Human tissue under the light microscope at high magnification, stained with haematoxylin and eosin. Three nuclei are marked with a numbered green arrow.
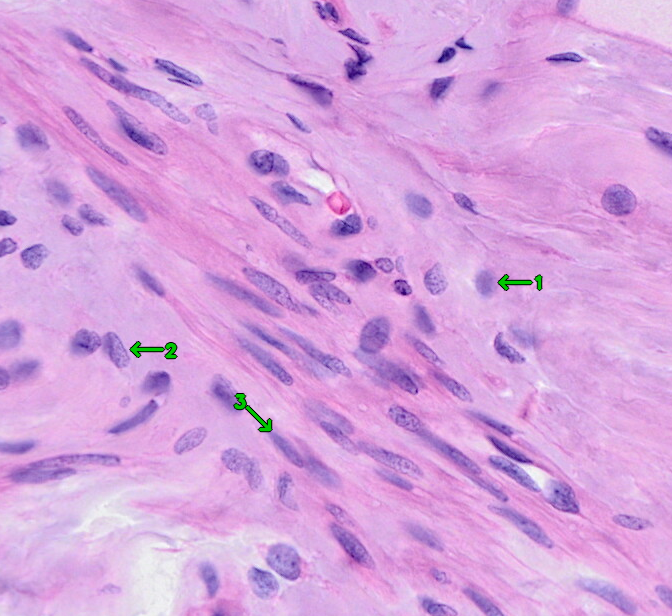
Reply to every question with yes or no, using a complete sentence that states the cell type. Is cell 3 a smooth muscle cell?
Yes, so the cell at label 3 is a smooth muscle cell.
